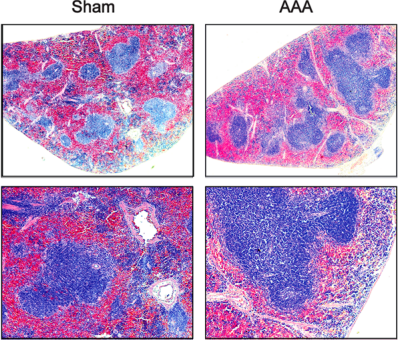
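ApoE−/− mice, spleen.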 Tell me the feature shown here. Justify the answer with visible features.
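Rounded nodules of densely packed small dark blue-purple nuclei. The nodules are surrounded by red-staining tissue. So: splenic follicles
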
